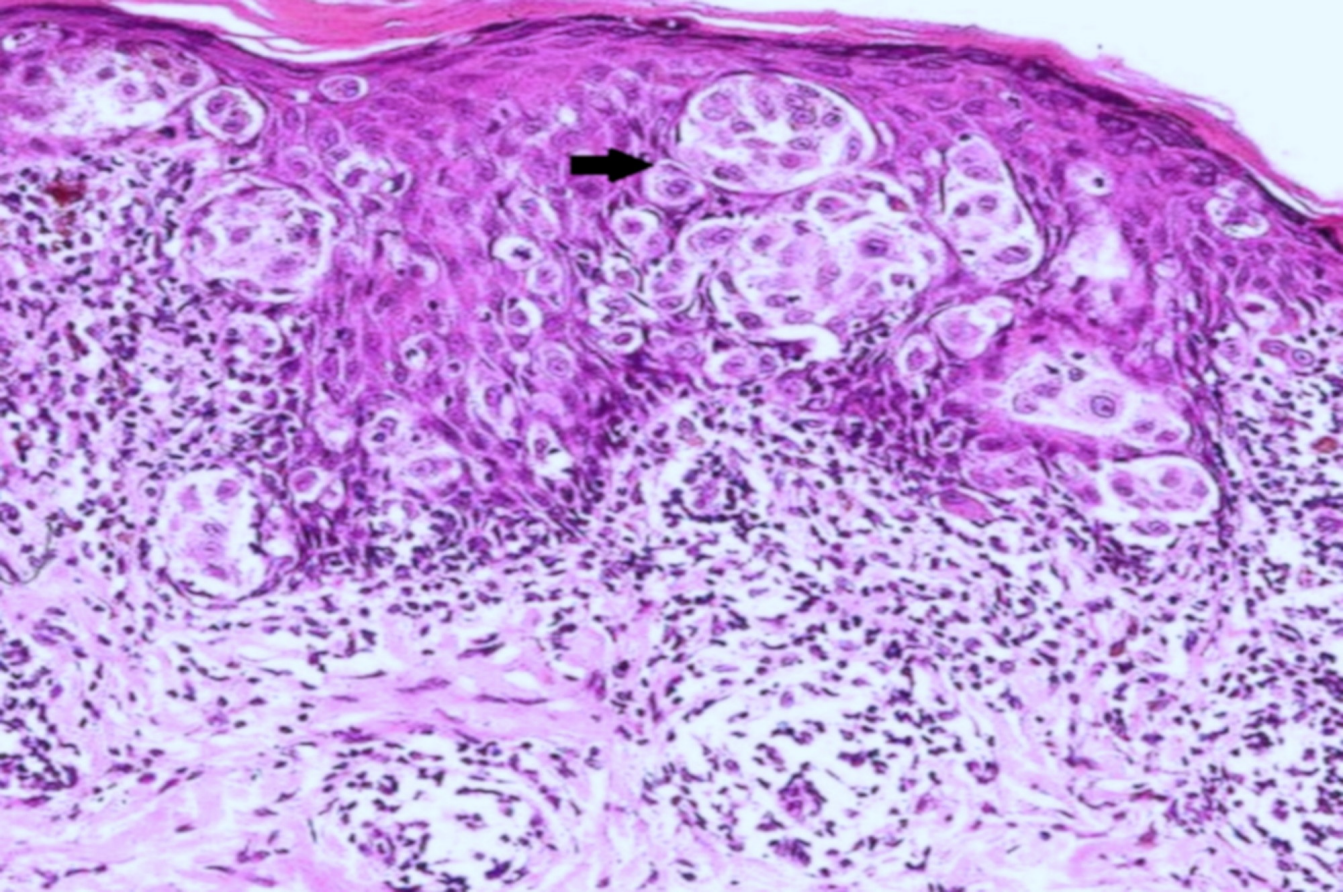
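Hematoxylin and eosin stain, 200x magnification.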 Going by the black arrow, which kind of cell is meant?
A: Nests of atypical melanocytes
